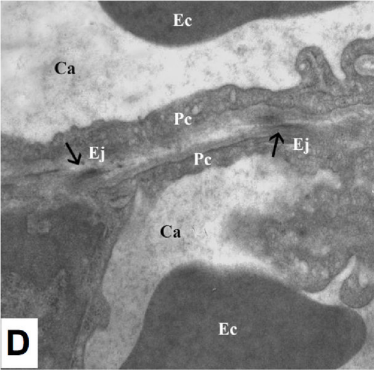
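Two capillary lumens lie one above the other, each holding a dense, dark red blood cell, and they are separated by a thin wall of flattened cell cytoplasm. Within this wall, slender pericyte processes lie against the endothelium, and the arrows point to the dark, tight contacts where neighbouring endothelial cells join. At the upper right the membrane of the wall is thrown into small folds.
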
